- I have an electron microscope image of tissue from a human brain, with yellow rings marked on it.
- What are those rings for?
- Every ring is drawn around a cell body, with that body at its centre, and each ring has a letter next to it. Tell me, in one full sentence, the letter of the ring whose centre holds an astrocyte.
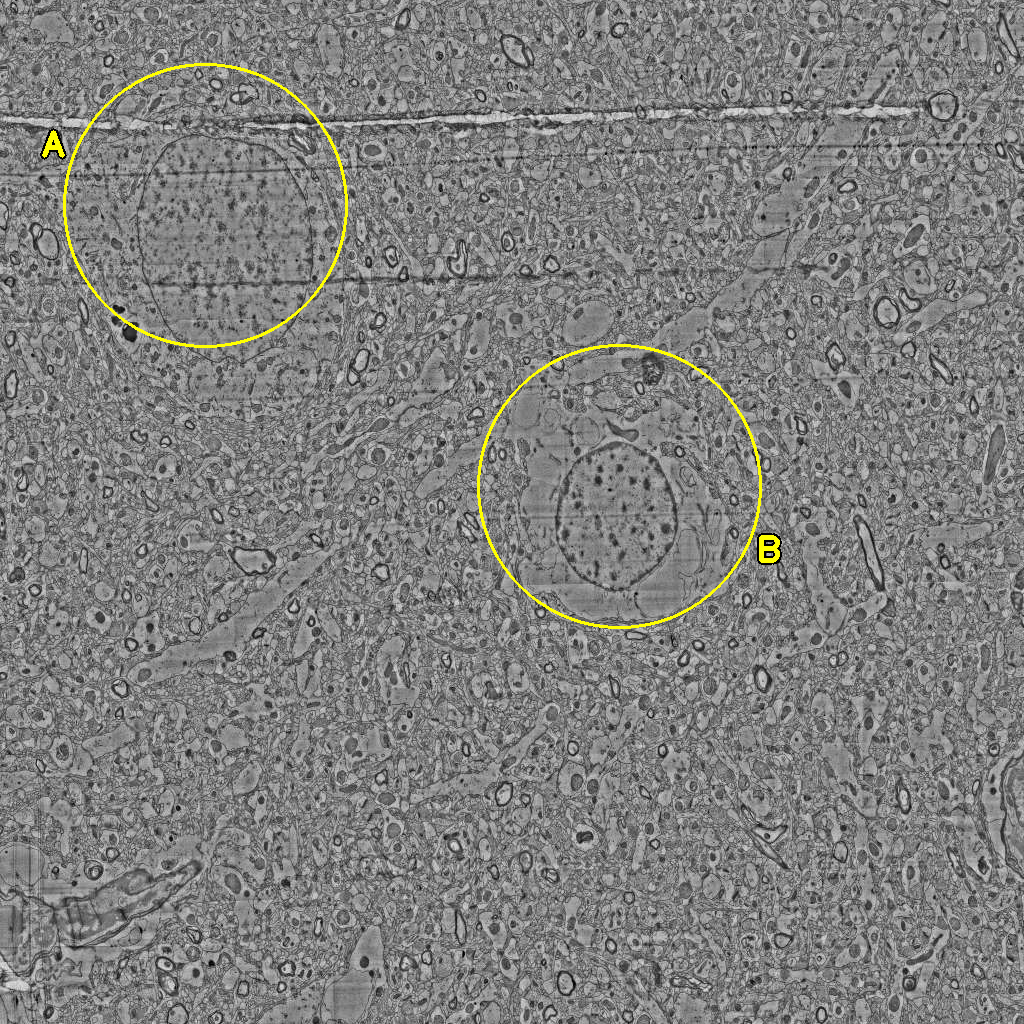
In the picture, the cell asked for sits at the centre of ring B.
